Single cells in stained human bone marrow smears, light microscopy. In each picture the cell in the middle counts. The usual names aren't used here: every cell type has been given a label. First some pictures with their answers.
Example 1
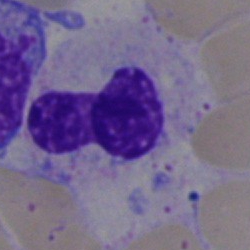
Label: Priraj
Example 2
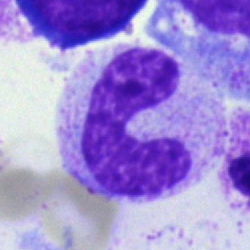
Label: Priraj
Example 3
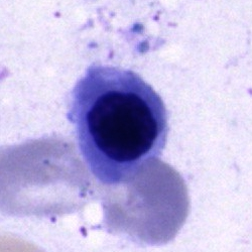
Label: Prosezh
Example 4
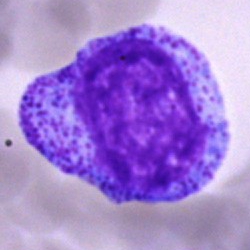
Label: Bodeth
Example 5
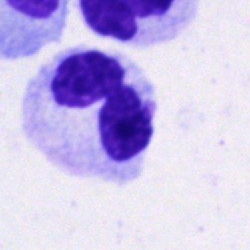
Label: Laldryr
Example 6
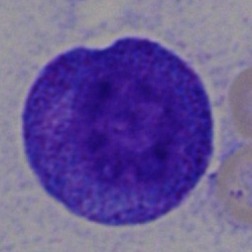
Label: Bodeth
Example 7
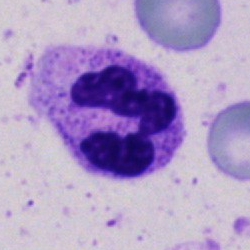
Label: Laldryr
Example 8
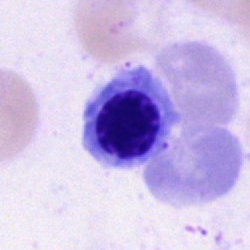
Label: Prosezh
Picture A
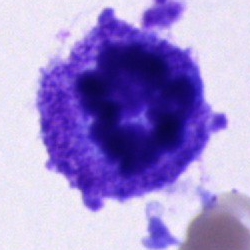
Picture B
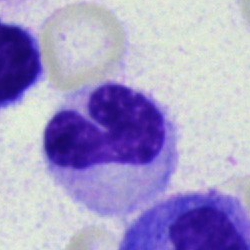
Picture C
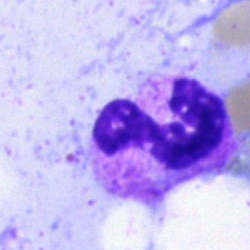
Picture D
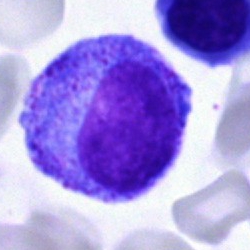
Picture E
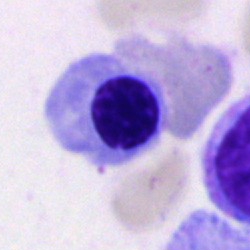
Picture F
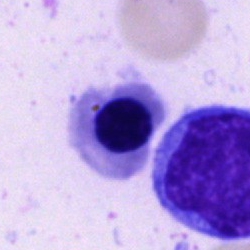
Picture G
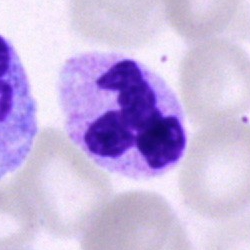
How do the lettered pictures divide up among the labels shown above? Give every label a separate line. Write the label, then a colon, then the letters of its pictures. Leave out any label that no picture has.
Priraj: B
Prosezh: E, F
Bodeth: A, D
Laldryr: C, G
